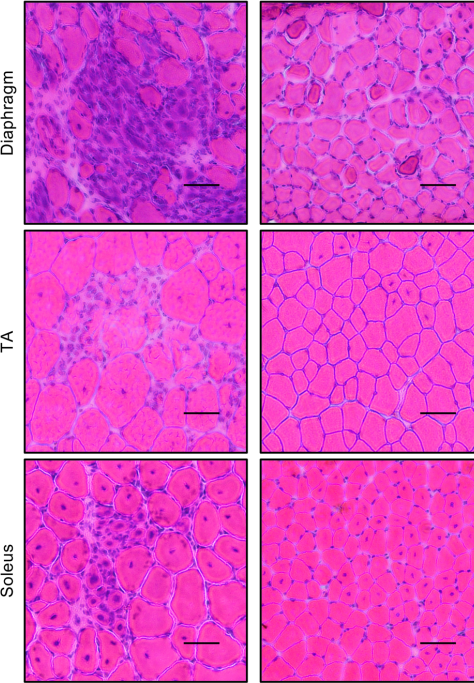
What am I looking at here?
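These are cross-sections of skeletal muscle, where each pink polygon is one muscle fiber cut across and the small purple dots are nuclei. In many fibers the nucleus sits in the middle of the fiber instead of pressed against its edge. In the left-hand images, dense patches of small cells with dark purple nuclei crowd between the fibers and break up the regular mosaic. The fibers also vary noticeably in size, with large rounded fibers lying next to small ones.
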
